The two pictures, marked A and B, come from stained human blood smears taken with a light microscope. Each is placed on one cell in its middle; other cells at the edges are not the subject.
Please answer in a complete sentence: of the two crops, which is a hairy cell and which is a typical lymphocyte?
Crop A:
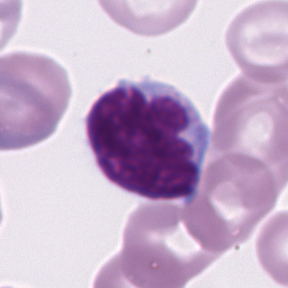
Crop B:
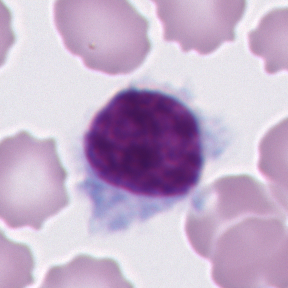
The cell that crop A centres on is a typical lymphocyte, and the cell that crop B centres on is a hairy cell.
